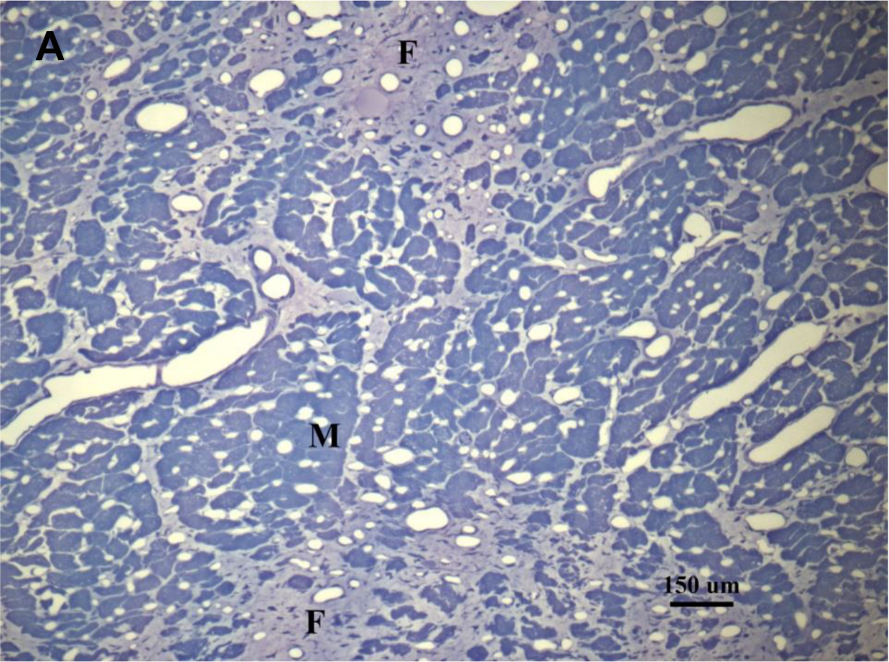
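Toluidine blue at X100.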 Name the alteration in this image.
Patchy areas of fibrosis.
